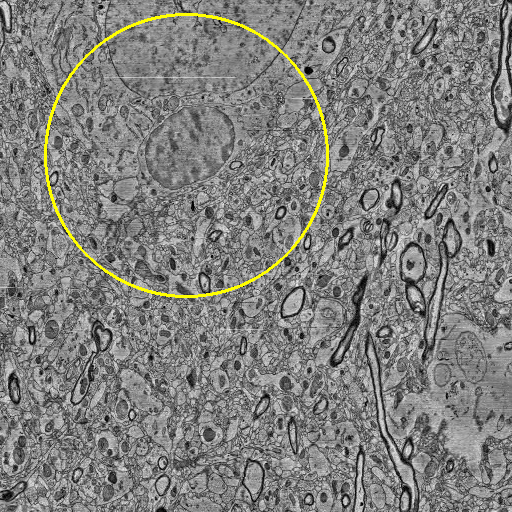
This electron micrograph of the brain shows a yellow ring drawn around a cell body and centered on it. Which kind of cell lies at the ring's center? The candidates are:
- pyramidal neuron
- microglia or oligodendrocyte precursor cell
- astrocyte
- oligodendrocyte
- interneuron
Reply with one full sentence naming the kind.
The cell lying at the ring's center in this micrograph is an oligodendrocyte.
